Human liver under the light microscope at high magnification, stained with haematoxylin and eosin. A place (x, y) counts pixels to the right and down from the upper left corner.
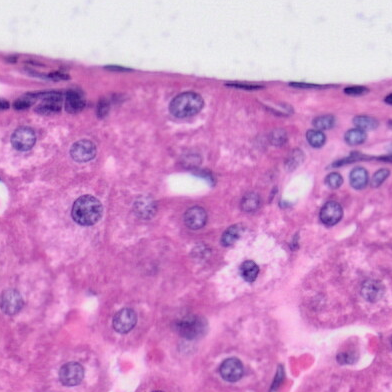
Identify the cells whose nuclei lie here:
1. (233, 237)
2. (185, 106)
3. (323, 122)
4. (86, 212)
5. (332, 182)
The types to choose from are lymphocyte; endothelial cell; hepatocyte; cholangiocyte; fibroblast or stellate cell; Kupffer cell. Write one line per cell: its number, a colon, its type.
1: cholangiocyte
2: hepatocyte
3: cholangiocyte
4: hepatocyte
5: cholangiocyte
